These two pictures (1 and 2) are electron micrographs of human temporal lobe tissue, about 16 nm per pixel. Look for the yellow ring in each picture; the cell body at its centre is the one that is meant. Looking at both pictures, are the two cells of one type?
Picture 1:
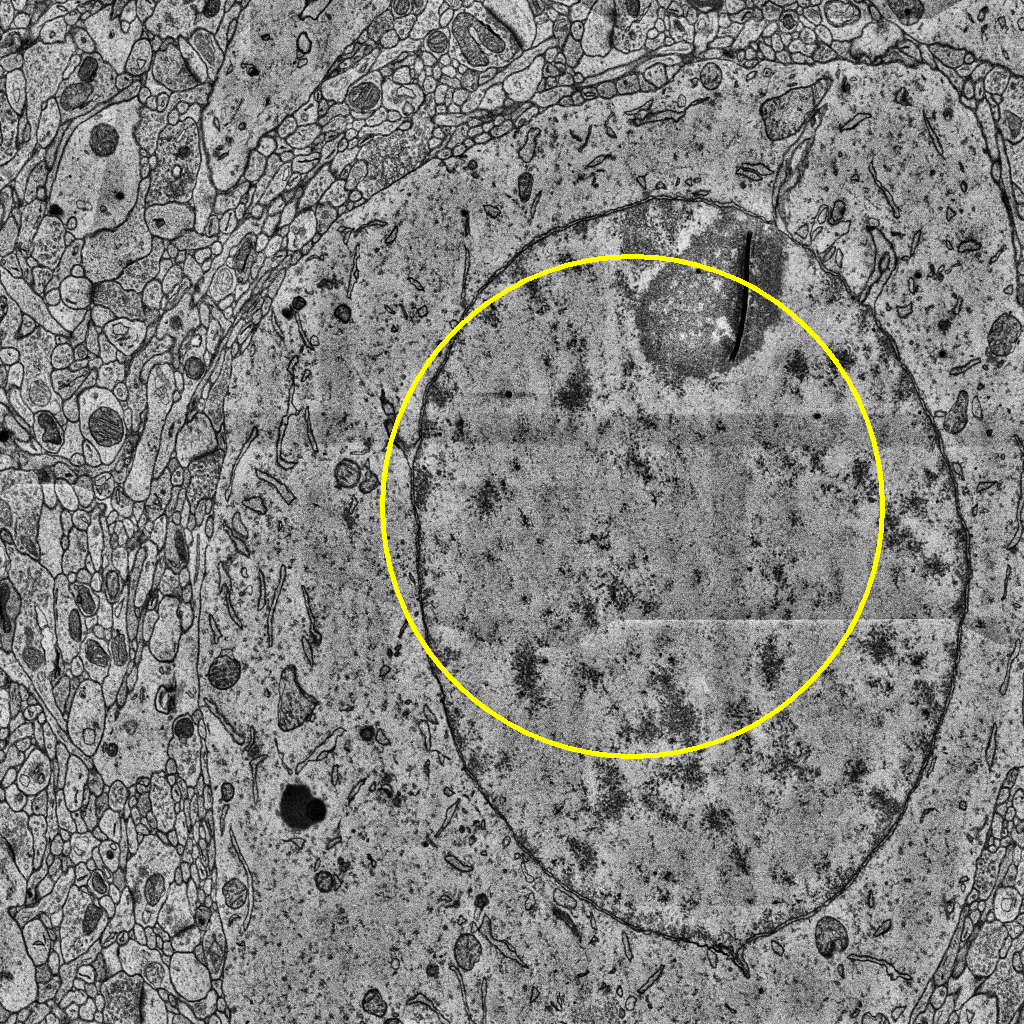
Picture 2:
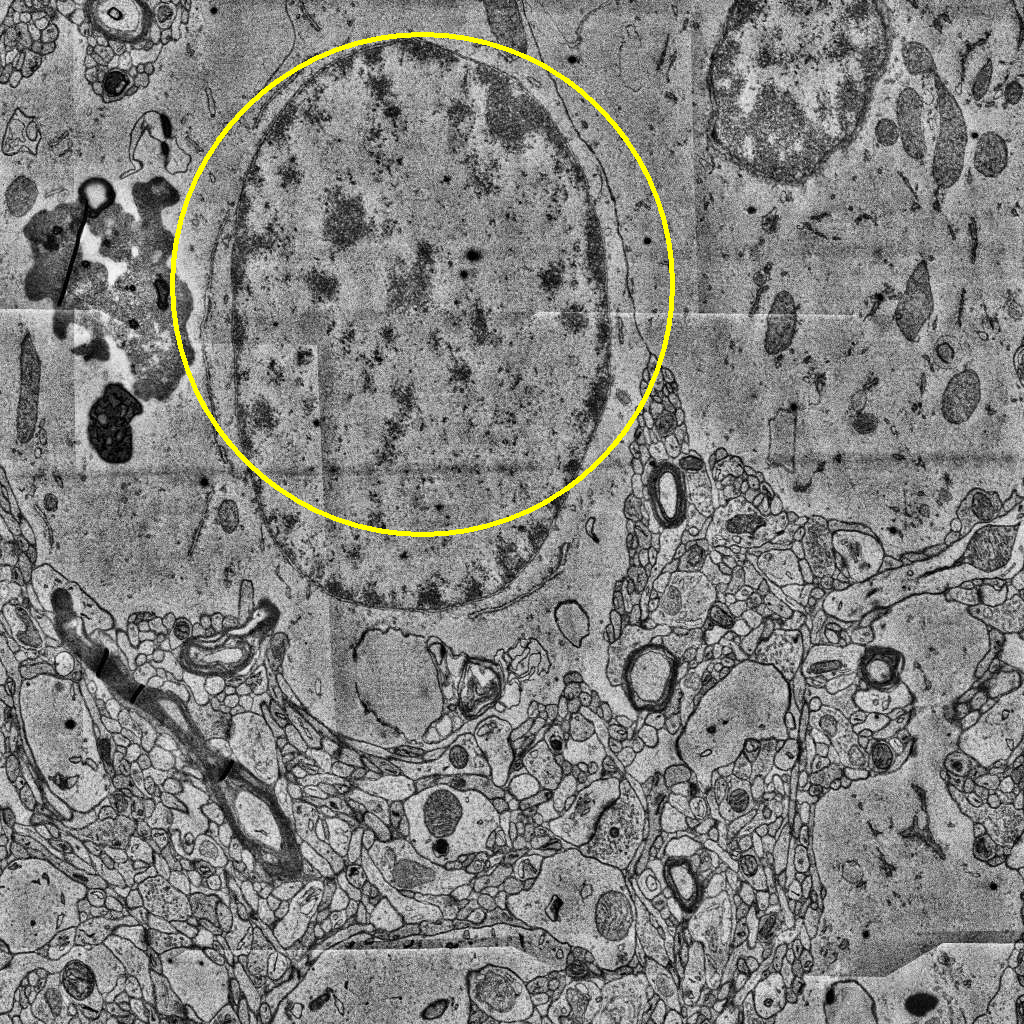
No, they differ: the cell is a pyramidal neuron in picture 1 and an astrocyte in picture 2.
